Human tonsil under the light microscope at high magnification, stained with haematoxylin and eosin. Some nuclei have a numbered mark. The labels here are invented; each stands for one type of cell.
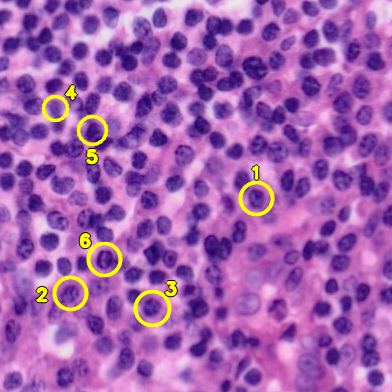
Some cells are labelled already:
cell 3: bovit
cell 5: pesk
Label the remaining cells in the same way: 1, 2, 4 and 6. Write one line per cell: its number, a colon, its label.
1: bovit
2: bovit
4: pesk
6: bovit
